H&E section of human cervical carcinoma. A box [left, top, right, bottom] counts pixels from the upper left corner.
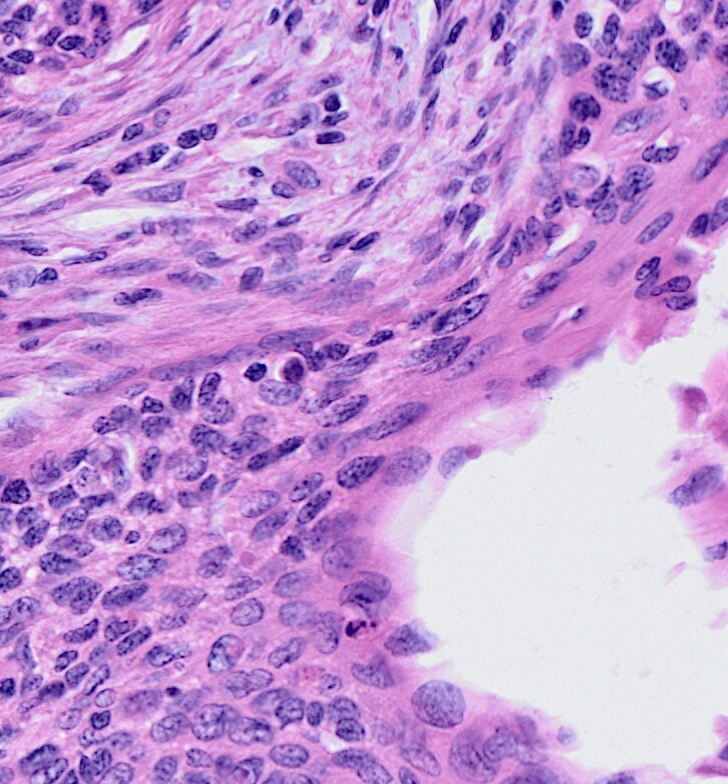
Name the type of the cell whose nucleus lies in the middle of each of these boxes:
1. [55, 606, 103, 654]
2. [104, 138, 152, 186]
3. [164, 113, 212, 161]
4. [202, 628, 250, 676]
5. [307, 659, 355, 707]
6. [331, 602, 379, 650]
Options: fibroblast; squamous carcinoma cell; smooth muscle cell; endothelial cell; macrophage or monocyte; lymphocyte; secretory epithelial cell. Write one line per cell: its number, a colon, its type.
1: squamous carcinoma cell
2: lymphocyte
3: lymphocyte
4: squamous carcinoma cell
5: squamous carcinoma cell
6: squamous carcinoma cell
